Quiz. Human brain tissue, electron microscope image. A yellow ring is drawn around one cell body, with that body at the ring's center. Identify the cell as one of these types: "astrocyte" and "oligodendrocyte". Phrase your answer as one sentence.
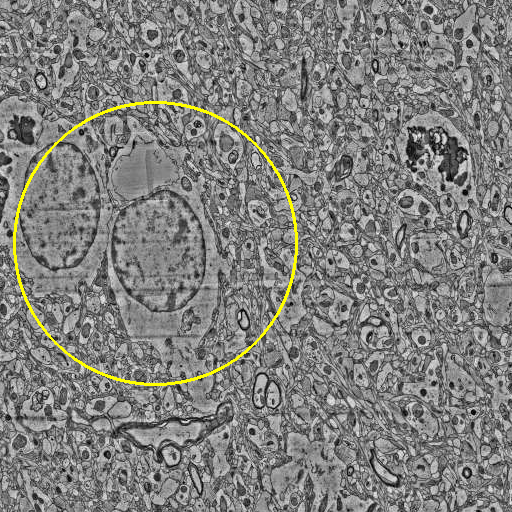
At the center of the ring sits an astrocyte.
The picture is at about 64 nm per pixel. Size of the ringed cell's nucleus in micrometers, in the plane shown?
In this plane, the nucleus is roughly 8 by 6 micrometres.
